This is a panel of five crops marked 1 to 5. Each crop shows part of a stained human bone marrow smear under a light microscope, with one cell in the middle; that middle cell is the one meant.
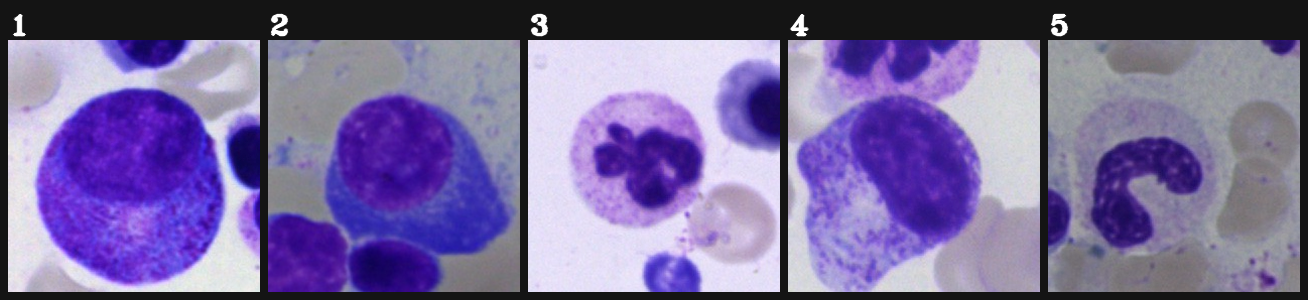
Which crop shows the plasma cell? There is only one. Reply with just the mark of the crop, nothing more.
2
